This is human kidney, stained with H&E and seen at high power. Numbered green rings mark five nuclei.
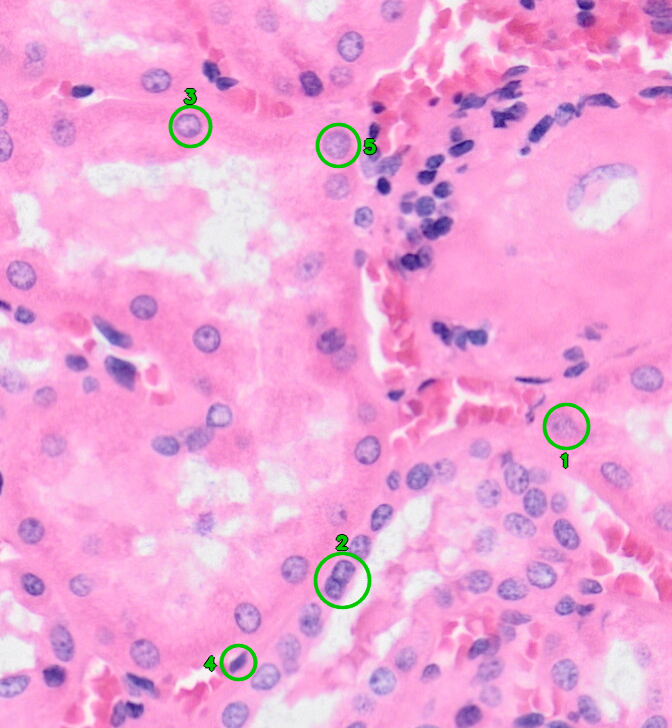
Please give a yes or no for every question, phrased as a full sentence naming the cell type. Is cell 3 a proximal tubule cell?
Yes, the cell at marker 3 is a proximal tubule cell.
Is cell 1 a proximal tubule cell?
Yes, the nucleus numbered 1 belongs to a proximal tubule cell.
